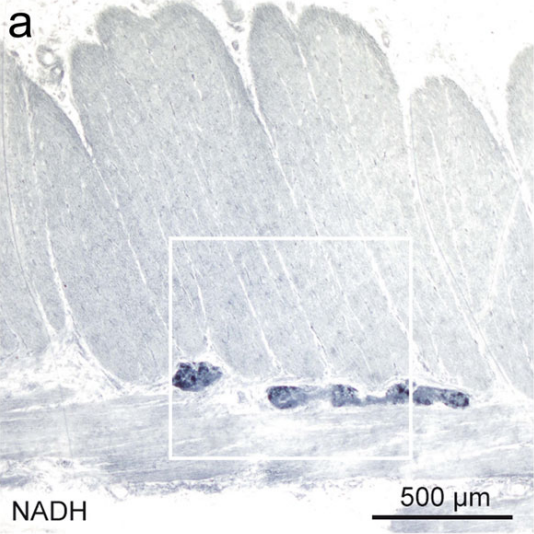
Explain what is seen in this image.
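At low power this is bowel wall with the myenteric plexus between the muscle layers. The upper muscle layer is divided into long, tongue-shaped bundles separated by pale connective tissue, all stained faintly grey-blue. Beneath their ends runs the other muscle layer, with fibres at a different angle. Above the muscle, loose pale tissue with a few small vessels is visible.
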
